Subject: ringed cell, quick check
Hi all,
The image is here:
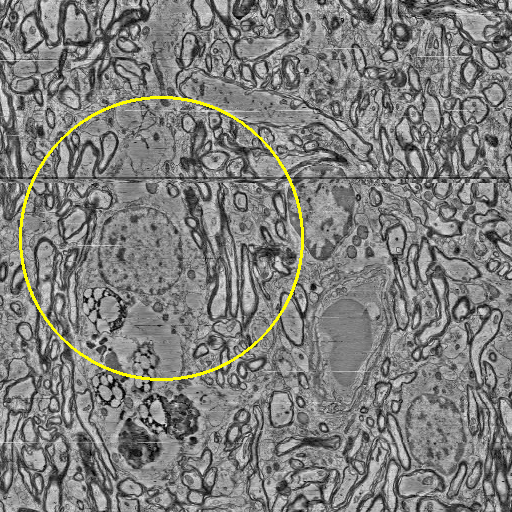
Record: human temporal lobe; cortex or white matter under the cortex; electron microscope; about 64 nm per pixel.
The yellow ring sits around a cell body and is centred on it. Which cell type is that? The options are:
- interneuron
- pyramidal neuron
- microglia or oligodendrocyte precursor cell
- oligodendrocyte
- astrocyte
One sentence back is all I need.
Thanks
That ringed cell is an astrocyte.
